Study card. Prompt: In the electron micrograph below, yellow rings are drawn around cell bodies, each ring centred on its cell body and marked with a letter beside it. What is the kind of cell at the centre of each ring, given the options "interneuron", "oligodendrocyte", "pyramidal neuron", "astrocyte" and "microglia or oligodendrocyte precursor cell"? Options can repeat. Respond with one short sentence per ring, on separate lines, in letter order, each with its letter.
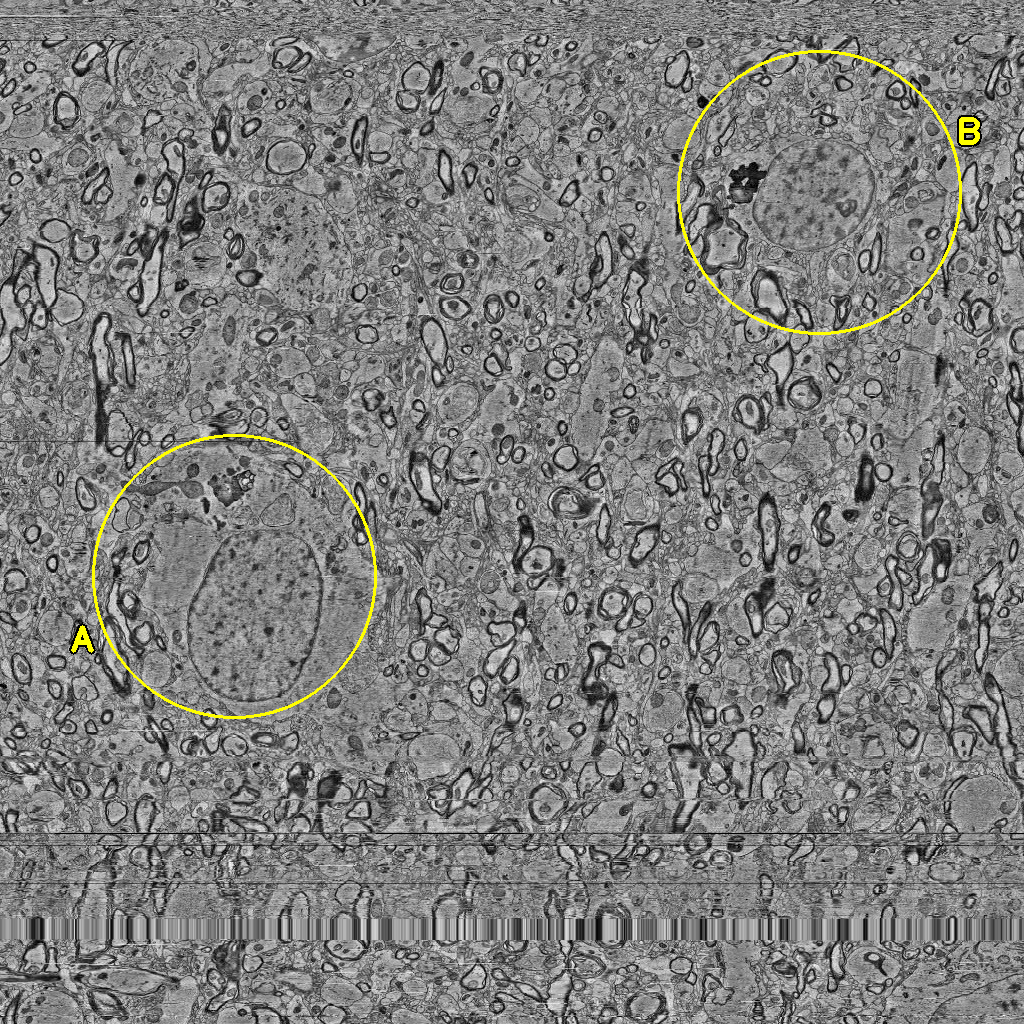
Ring A outlines an astrocyte.
Ring B outlines an oligodendrocyte.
